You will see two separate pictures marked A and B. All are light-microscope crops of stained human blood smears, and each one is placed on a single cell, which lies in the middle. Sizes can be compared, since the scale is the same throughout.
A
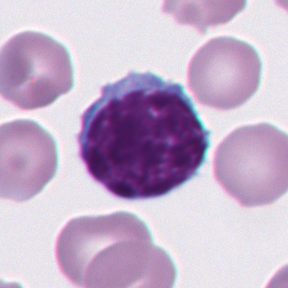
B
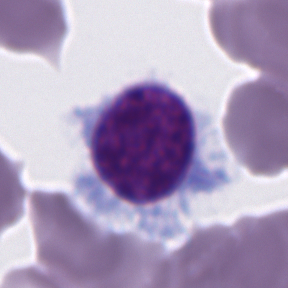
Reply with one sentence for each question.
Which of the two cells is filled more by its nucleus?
The nucleus fills more of the cell in picture A than in picture B.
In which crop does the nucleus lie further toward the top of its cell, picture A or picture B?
Seen within its cell, the nucleus in picture B lies further toward the top.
